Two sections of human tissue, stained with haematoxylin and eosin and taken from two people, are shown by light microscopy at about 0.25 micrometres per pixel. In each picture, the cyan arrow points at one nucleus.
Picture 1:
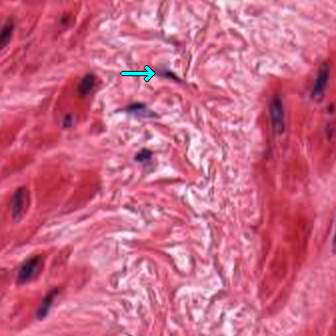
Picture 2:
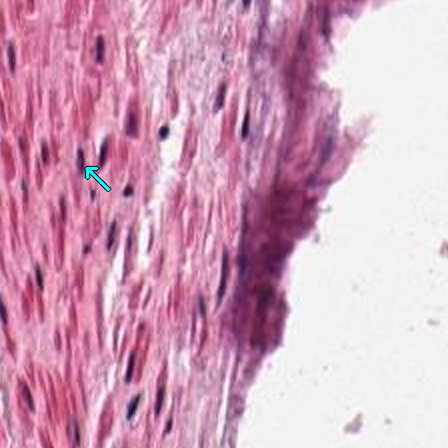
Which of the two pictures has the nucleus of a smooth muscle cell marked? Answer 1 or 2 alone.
2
